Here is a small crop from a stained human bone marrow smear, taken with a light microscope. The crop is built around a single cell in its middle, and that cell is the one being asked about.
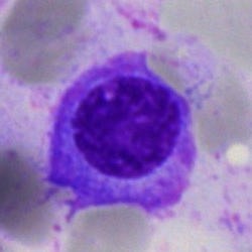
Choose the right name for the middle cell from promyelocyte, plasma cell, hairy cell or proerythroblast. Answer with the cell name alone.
plasma cell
